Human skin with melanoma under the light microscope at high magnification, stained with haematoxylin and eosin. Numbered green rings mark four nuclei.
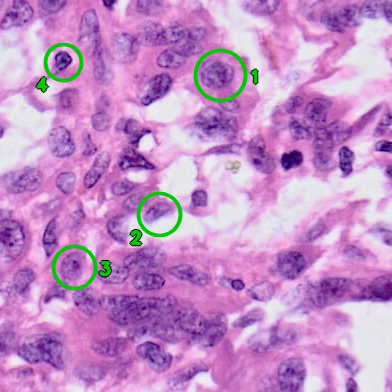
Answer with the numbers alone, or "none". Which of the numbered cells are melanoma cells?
1, 2, 3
